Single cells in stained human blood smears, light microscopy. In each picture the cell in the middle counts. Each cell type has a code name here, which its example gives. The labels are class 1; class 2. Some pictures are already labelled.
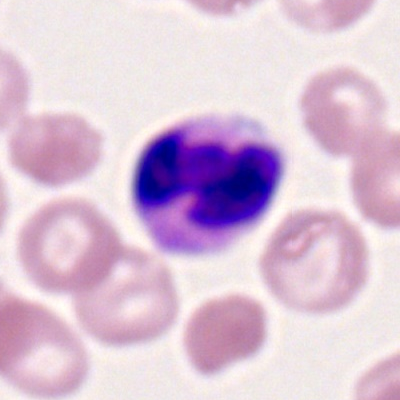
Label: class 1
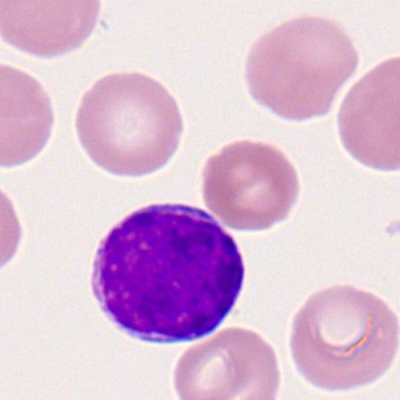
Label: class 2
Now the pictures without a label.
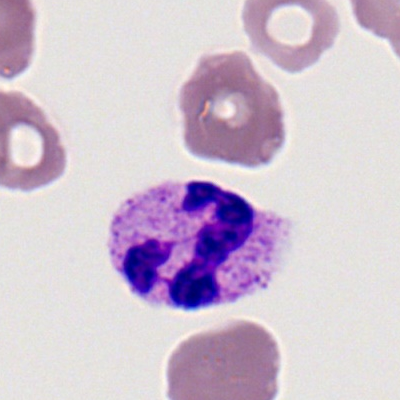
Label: class 1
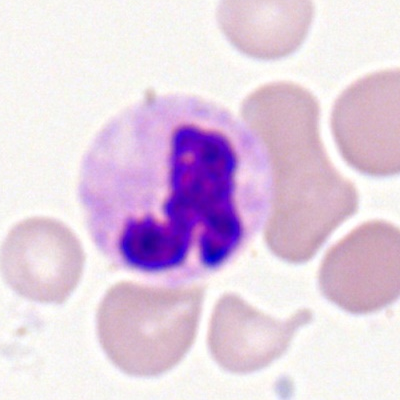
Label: class 1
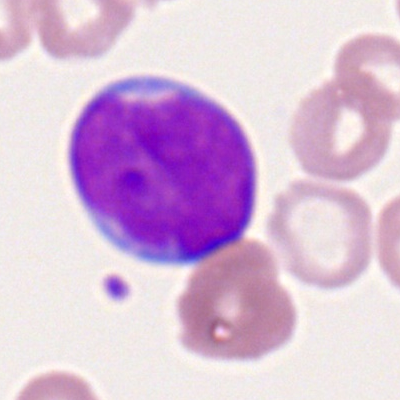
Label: class 2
